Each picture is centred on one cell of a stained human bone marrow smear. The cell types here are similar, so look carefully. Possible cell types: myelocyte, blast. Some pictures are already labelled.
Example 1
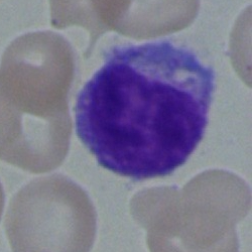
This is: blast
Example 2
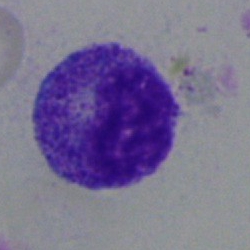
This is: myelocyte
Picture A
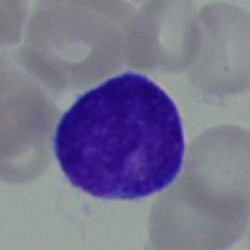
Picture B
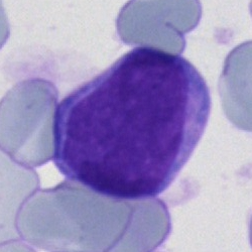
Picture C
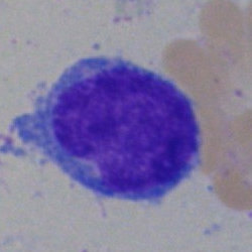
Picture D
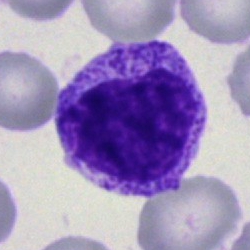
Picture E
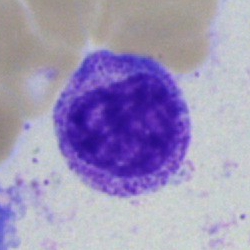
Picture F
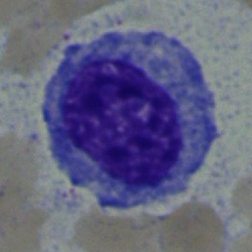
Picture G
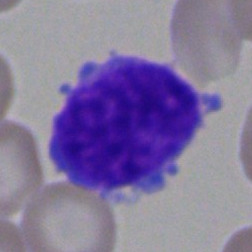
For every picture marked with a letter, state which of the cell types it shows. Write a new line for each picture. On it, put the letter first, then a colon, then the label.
A: blast
B: blast
C: blast
D: myelocyte
E: myelocyte
F: myelocyte
G: blast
